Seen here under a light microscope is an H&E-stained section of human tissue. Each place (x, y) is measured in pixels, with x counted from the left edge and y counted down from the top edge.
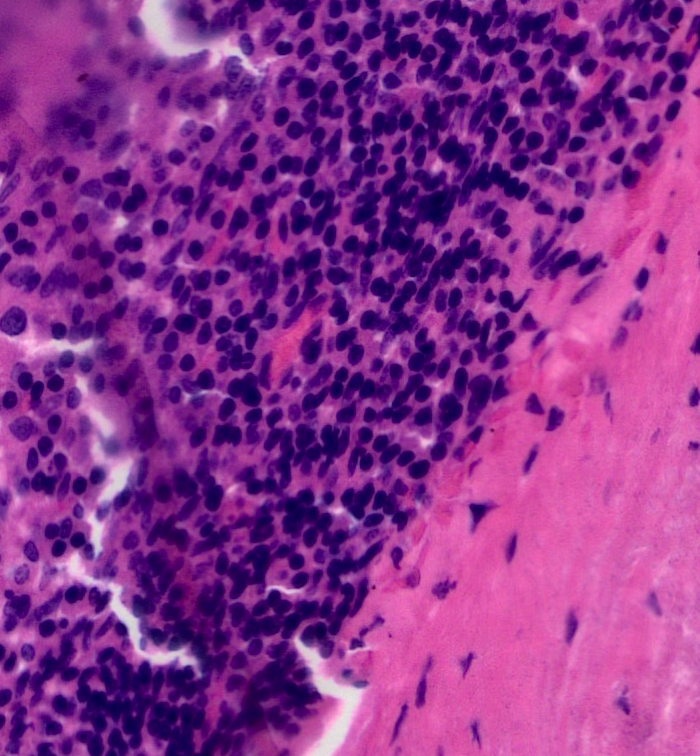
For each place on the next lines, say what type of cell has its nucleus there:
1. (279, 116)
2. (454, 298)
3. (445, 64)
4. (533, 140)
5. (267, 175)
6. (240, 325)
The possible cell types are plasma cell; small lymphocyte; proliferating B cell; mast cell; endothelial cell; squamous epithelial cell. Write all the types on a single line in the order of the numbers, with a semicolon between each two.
plasma cell; plasma cell; small lymphocyte; plasma cell; plasma cell; small lymphocyte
